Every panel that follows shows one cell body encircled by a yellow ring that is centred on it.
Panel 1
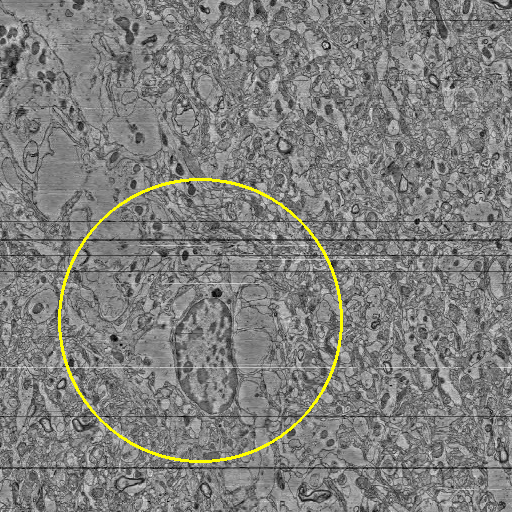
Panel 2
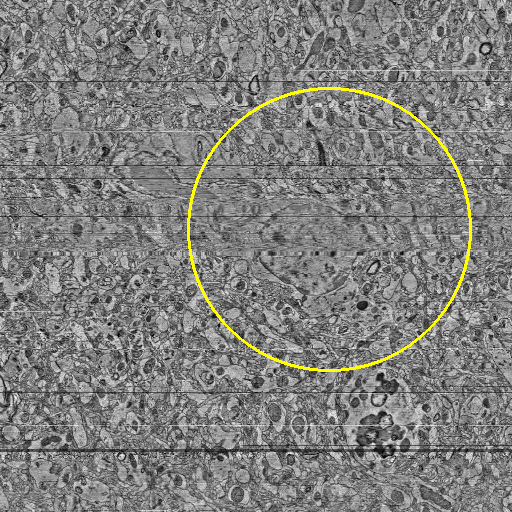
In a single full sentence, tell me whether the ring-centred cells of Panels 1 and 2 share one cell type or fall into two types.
In Panel 1 and Panel 2, the cells at the ring centres share one cell type.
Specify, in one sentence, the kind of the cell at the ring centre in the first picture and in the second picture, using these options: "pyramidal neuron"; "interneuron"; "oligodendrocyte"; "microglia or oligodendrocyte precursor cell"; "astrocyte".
In each picture the ringed cell is a microglial cell or oligodendrocyte precursor cell.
